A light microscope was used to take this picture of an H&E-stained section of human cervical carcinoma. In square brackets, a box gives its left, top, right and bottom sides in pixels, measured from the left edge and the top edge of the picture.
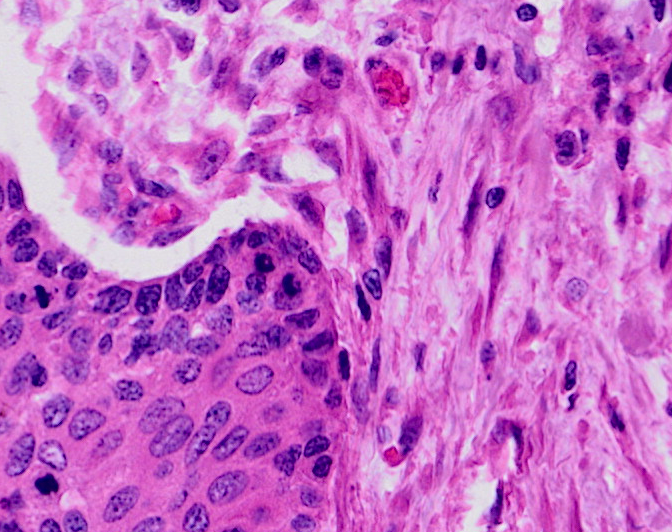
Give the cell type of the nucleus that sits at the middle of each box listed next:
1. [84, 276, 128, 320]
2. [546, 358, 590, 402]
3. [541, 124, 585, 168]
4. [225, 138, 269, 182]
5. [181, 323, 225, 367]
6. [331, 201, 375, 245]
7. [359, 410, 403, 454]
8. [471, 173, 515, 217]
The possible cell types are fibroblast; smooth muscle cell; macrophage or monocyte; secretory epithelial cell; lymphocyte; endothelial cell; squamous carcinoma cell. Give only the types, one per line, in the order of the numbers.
squamous carcinoma cell
lymphocyte
macrophage or monocyte
fibroblast
squamous carcinoma cell
fibroblast
endothelial cell
lymphocyte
